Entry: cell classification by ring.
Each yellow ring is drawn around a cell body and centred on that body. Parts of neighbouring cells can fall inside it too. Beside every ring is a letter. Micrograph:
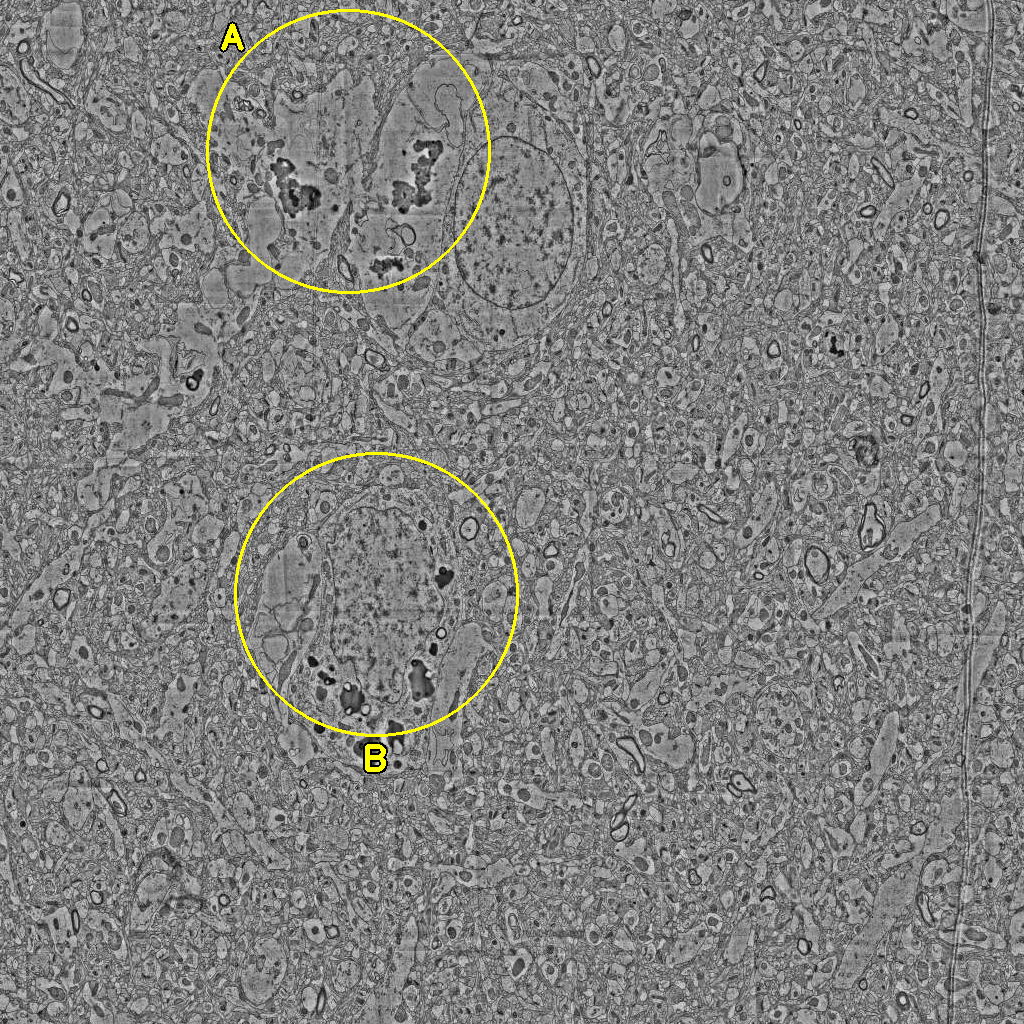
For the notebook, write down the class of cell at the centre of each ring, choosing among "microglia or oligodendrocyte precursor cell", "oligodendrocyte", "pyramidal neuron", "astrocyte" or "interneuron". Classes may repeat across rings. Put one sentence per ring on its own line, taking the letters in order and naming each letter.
Ring A marks an astrocyte.
Ring B marks a microglial cell or oligodendrocyte precursor cell.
